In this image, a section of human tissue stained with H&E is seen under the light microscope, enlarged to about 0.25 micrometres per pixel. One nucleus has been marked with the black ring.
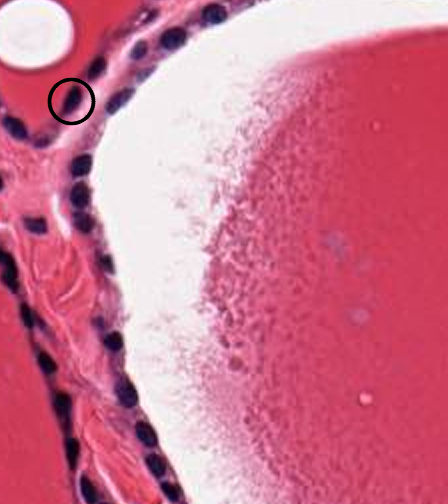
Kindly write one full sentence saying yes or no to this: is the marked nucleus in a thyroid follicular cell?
Yes, the marked nucleus belongs to a thyroid follicular cell.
